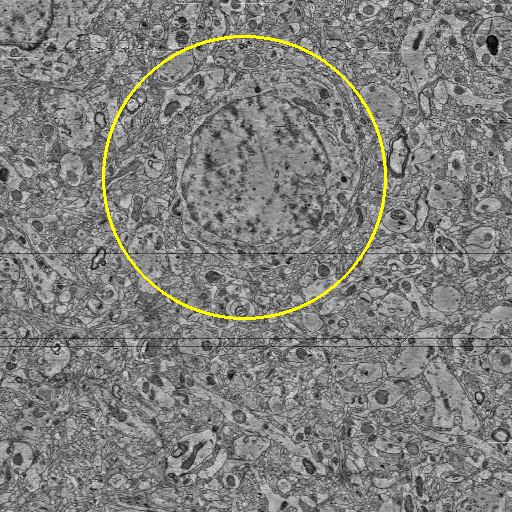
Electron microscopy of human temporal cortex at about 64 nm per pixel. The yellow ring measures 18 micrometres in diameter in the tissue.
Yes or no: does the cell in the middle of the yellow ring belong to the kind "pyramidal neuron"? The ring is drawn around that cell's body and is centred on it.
no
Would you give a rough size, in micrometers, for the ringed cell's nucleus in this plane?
In this plane the nucleus is about 11 micrometres by 9.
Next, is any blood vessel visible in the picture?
No, no vessel shows anywhere in the image.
